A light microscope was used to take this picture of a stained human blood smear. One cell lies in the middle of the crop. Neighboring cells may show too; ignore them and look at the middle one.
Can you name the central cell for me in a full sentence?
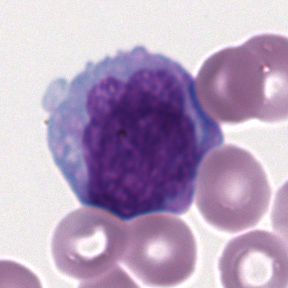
In the central position of this crop, the cell is an atypical promyelocyte.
